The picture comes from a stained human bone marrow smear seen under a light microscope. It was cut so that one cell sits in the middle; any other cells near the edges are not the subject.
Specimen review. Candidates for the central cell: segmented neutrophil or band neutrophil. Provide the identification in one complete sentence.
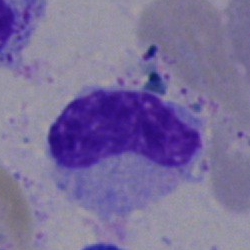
The cell around which this crop is centred is a band neutrophil.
